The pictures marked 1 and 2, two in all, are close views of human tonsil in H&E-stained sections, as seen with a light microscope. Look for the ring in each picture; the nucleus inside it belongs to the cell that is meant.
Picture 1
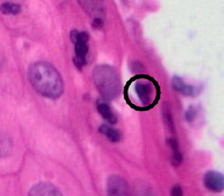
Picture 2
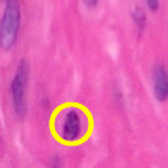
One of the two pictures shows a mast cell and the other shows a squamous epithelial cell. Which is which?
1: squamous epithelial cell
2: mast cell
